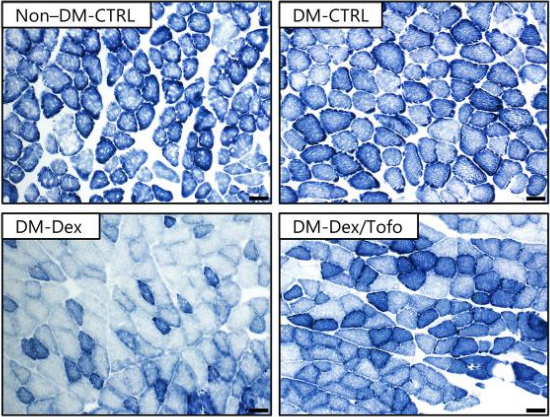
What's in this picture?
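The four fields show skeletal muscle in cross-section, made of closely packed polygonal muscle fibers separated by thin pale borders. In three fields many fibers are strongly blue. In one field most fibers are pale, with only scattered dark blue fibers among them. The paler field shows an overall weaker staining of the muscle fibers.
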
